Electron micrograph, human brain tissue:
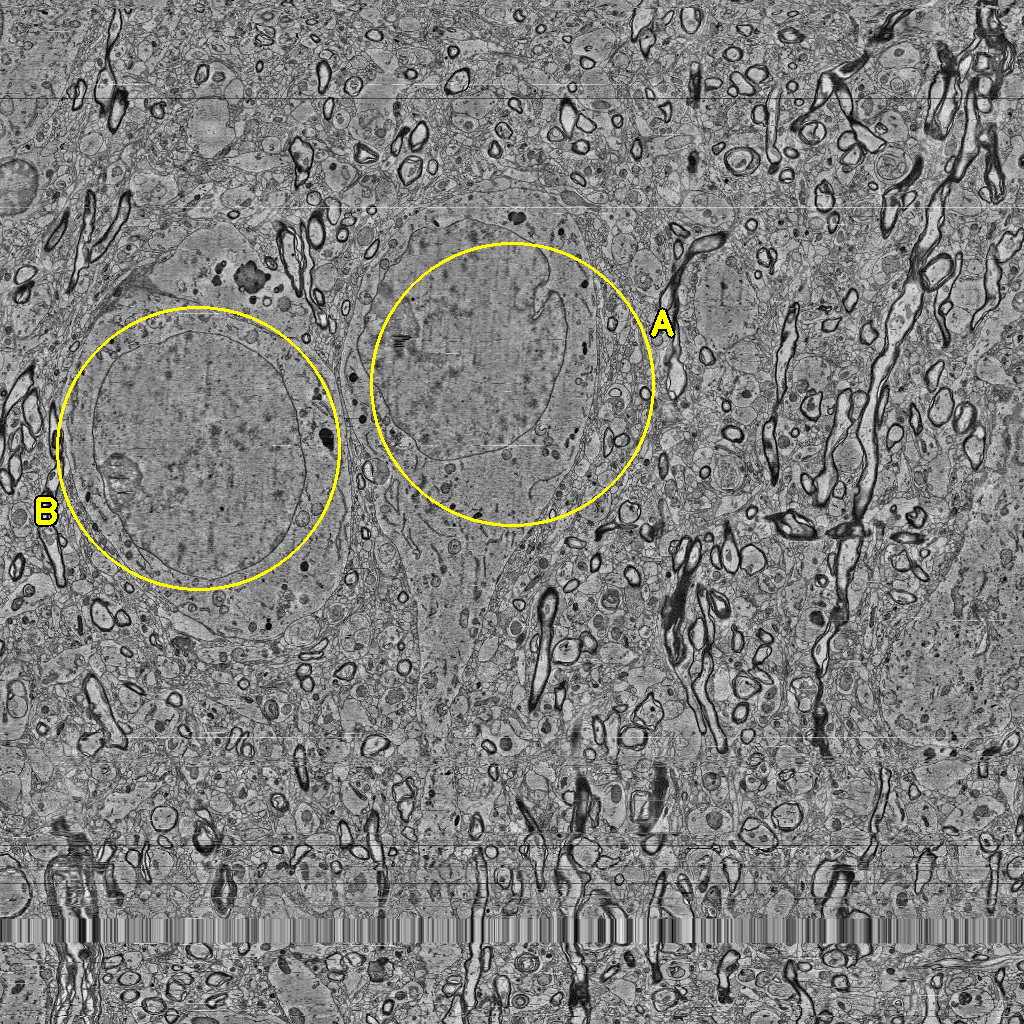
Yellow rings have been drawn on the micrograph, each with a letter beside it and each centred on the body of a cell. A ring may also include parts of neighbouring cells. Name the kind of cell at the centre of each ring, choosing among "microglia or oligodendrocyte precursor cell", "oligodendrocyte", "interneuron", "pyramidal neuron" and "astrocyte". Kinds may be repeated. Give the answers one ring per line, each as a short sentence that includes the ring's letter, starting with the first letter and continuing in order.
Ring A is placed on a pyramidal neuron.
Ring B is placed on a pyramidal neuron.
